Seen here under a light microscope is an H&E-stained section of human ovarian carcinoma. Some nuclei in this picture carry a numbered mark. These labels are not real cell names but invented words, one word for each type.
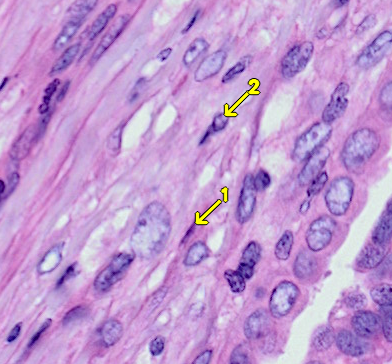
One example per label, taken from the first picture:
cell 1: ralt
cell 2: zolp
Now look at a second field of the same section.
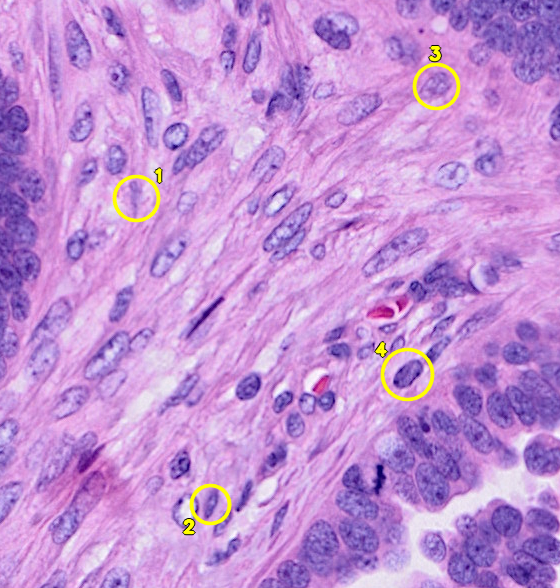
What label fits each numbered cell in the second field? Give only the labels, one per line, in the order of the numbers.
ralt
ralt
ralt
zolp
